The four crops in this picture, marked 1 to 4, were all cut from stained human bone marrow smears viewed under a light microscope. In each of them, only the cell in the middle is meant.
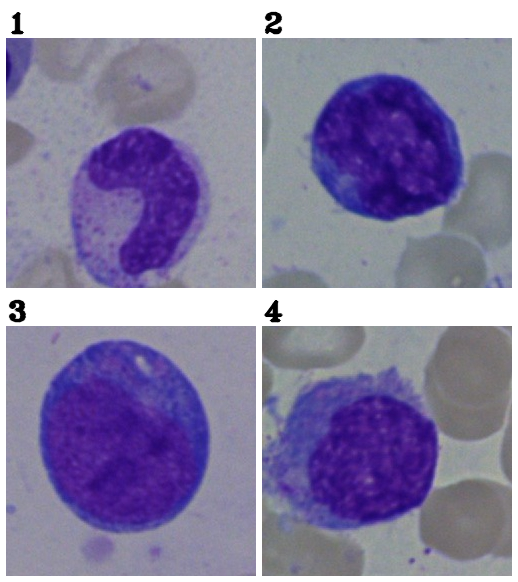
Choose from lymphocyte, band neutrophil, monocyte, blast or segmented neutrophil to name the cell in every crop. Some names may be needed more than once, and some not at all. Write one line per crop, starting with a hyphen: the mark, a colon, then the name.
- 1: band neutrophil
- 2: blast
- 3: blast
- 4: monocyte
